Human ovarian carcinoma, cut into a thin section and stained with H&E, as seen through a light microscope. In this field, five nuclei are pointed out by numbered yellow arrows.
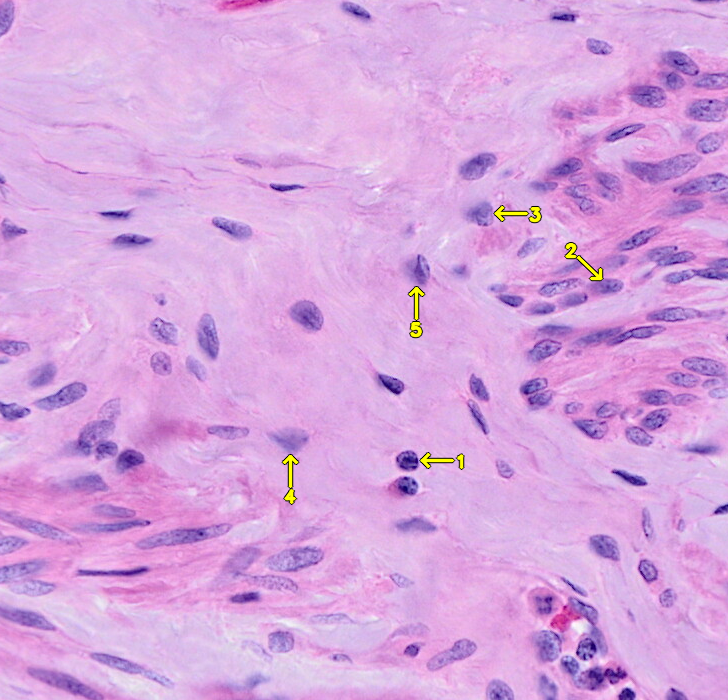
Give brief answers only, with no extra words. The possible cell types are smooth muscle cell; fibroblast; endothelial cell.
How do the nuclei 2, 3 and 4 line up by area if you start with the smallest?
2, 3, 4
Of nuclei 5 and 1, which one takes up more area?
5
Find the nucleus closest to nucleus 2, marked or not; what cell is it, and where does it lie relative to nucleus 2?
a smooth muscle cell, above nucleus 2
